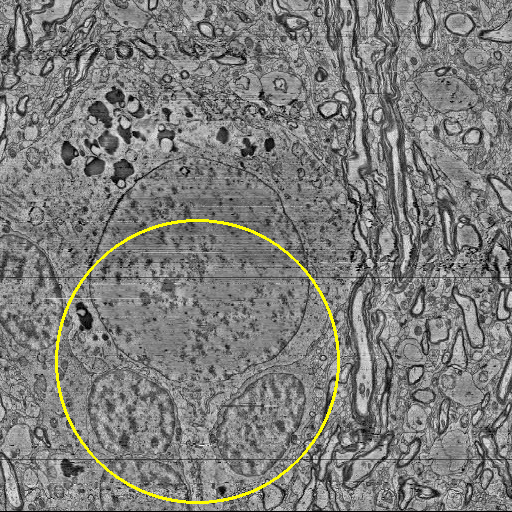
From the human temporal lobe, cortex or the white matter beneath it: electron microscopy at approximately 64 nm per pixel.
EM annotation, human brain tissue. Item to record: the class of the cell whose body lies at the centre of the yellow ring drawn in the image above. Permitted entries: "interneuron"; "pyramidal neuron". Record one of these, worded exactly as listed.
pyramidal neuron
